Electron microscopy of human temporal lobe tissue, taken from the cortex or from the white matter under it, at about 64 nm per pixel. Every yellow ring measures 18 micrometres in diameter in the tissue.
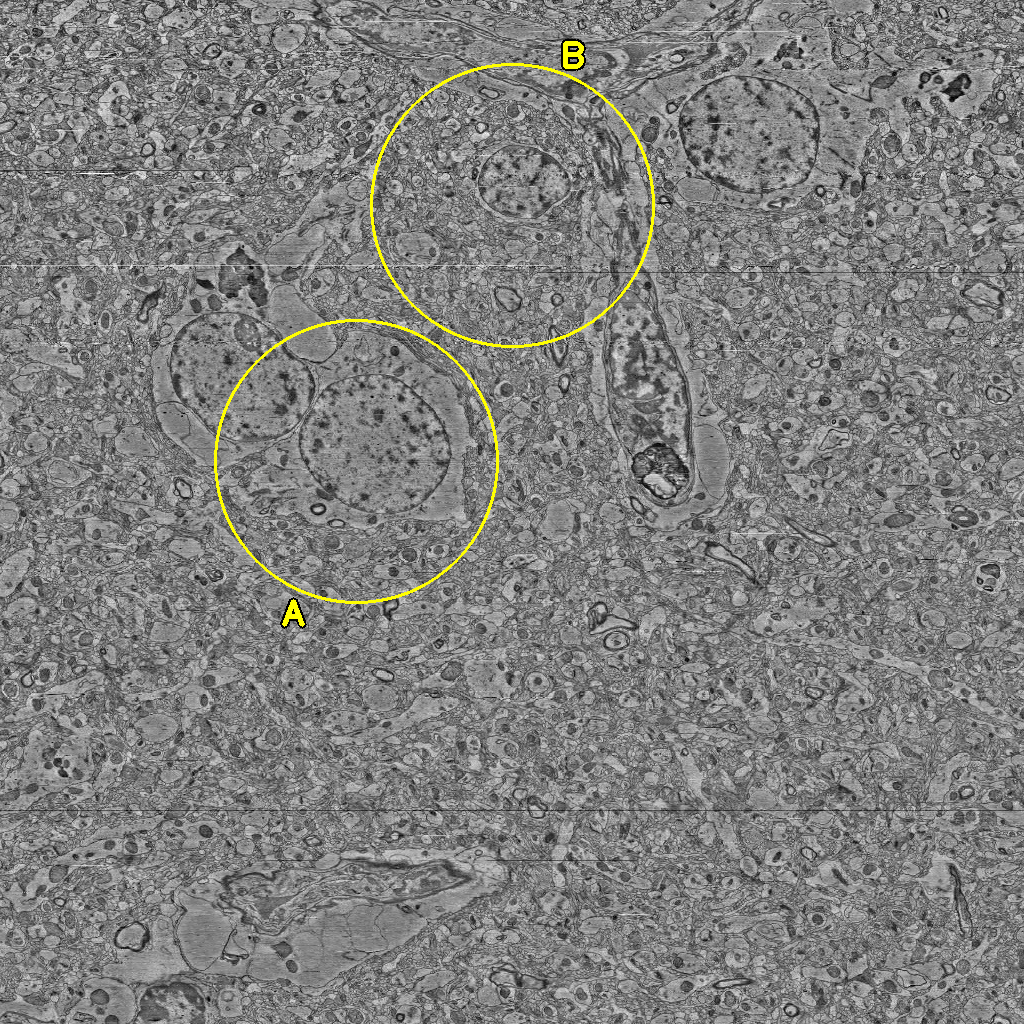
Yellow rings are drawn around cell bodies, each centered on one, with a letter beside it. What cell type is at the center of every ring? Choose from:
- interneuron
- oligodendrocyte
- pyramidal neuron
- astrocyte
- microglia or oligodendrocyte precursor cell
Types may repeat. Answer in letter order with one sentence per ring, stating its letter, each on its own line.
The cell at the center of ring A is an astrocyte.
The cell at the center of ring B is a microglial cell or oligodendrocyte precursor cell.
